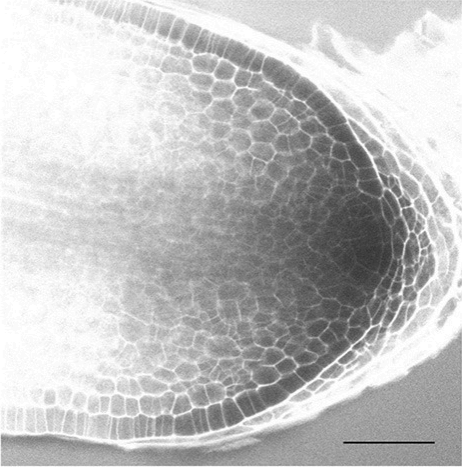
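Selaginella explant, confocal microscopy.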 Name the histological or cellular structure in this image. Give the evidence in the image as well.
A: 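A rounded root tip with small, densely packed cells behind a cap of cells. Longer files of cells run back from the tip along the root's edges. The answer: root meristem.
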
